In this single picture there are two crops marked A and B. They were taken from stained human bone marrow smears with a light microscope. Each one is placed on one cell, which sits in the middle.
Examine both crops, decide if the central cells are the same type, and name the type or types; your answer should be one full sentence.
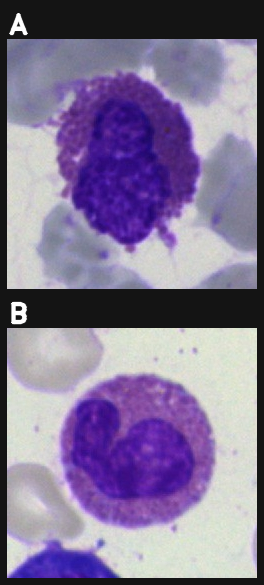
Yes, both crops show eosinophils in their central position.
